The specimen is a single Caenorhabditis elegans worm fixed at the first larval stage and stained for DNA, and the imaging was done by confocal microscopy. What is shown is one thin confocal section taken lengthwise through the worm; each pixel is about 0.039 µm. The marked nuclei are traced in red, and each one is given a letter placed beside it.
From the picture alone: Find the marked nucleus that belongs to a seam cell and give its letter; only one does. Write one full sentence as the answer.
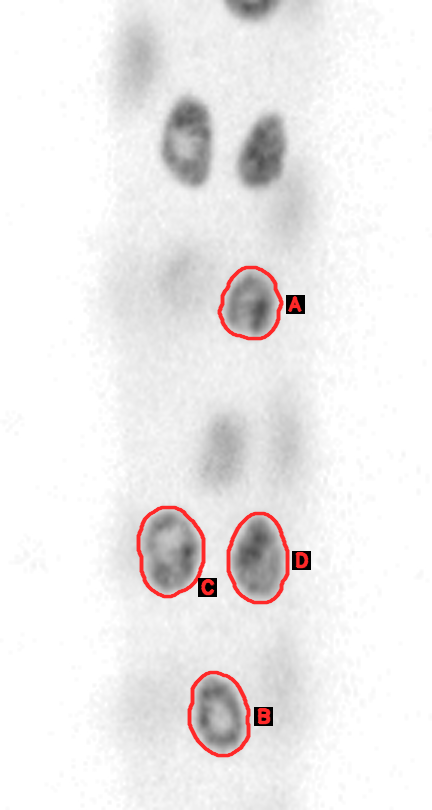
The nucleus of a seam cell is B.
